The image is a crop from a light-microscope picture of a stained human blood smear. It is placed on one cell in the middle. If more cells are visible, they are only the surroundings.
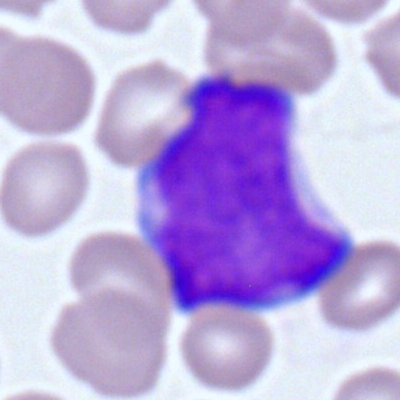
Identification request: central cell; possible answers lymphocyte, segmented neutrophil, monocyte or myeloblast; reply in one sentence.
The cell in the exact centre of the crop is a myeloblast.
